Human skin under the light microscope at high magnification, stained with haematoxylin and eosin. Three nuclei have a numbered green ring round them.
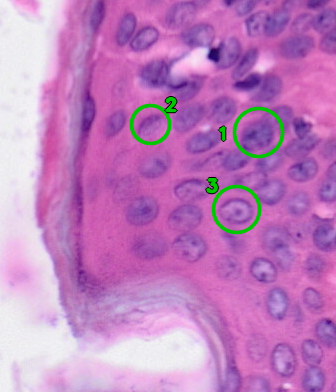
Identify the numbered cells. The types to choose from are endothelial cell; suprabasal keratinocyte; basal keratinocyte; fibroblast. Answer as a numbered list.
1. basal keratinocyte
2. suprabasal keratinocyte
3. suprabasal keratinocyte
